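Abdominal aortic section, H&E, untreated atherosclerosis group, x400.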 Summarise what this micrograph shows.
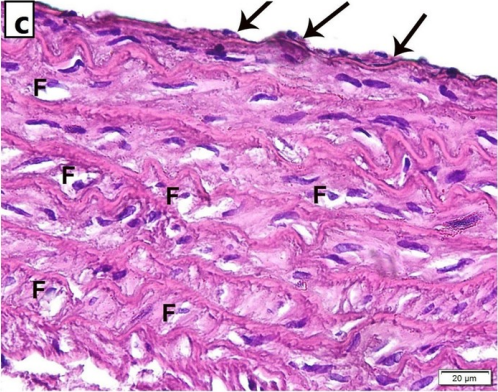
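This is the wall of the aorta at higher power, with an irregular luminal surface bearing small raised focal bumps along the intima. The tunica media shows wavy pink elastic lamellae that are disorganized and separated, with elongated purple smooth muscle nuclei between them. Numerous pale cells with clear, foamy-looking cytoplasm, the foam cells, infiltrate the media between the lamellae. The overall arrangement of smooth muscle and lamellae is markedly disordered compared with a normal vessel wall.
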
